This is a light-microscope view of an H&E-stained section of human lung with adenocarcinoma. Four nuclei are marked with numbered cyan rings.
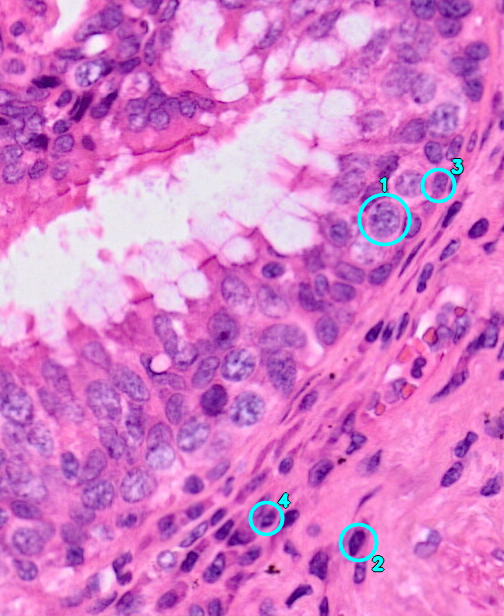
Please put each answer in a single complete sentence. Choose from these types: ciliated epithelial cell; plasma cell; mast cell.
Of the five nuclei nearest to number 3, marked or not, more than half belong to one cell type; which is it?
Ciliated epithelial cells account for more than half of the five nuclei nearest to number 3.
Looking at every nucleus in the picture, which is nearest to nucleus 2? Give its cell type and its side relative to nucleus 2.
The nearest nucleus is that of a mast cell and lies below nucleus 2.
